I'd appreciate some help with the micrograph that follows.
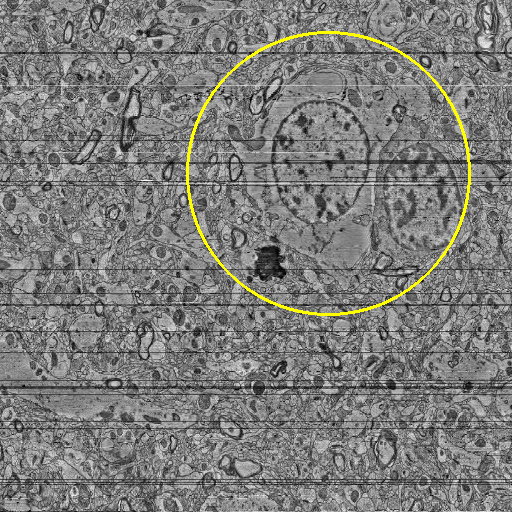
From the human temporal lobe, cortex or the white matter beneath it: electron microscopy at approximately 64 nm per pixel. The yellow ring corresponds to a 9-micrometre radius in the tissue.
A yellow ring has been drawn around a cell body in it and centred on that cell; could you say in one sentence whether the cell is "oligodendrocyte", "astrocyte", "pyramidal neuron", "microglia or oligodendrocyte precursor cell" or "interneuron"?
It is an astrocyte at the centre of the ring.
